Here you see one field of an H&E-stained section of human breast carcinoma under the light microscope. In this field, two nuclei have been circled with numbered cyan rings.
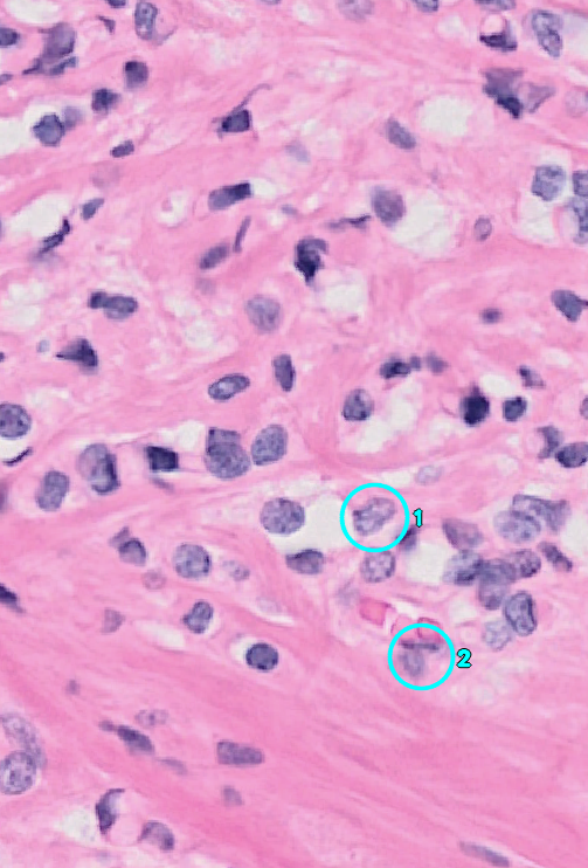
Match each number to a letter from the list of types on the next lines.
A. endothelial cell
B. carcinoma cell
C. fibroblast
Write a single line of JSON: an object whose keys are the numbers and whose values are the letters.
{"1": "B", "2": "A"}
